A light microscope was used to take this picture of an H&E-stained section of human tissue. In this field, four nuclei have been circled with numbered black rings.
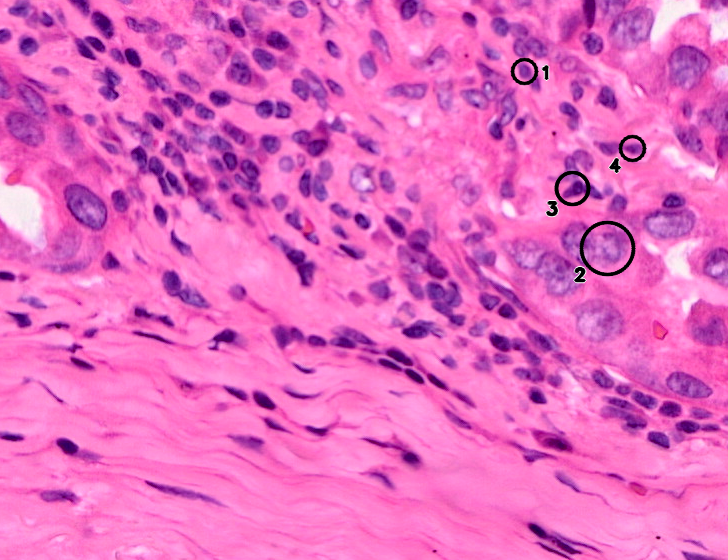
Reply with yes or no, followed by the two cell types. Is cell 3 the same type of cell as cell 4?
Yes, lymphocytes are what cells 3 and 4 both are.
